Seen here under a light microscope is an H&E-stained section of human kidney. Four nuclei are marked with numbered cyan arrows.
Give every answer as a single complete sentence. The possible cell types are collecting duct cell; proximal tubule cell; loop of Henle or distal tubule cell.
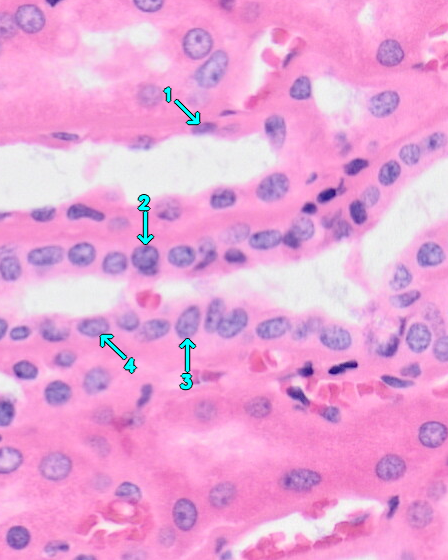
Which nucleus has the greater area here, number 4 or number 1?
Number 4 is larger; its area is about 1.5 times that of number 1.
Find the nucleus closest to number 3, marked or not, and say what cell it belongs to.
Closest to number 3 lies the nucleus of a collecting duct cell.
